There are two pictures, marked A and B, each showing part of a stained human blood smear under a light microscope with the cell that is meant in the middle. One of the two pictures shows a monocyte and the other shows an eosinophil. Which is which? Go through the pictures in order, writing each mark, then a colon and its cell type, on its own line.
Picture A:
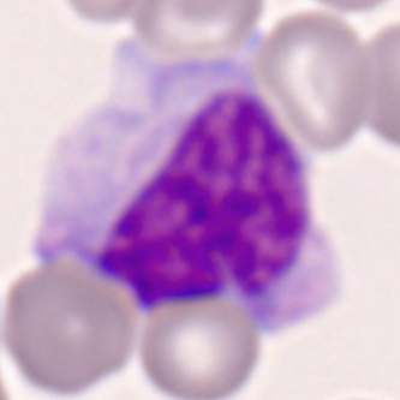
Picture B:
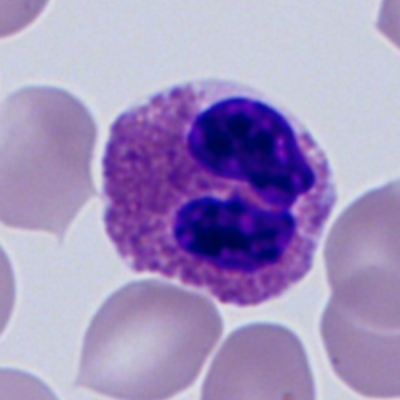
A: monocyte
B: eosinophil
